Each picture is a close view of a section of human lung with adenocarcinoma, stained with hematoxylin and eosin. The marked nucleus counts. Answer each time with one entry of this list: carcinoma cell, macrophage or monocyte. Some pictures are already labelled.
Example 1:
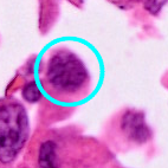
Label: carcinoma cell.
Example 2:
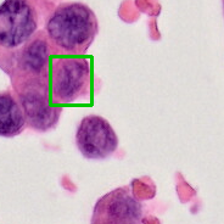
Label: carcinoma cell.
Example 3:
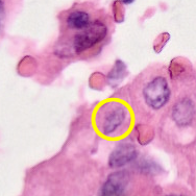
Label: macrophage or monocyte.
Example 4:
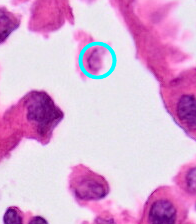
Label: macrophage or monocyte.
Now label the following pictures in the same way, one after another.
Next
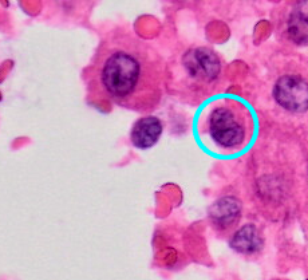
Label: macrophage or monocyte.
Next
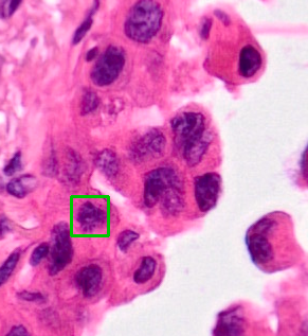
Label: carcinoma cell.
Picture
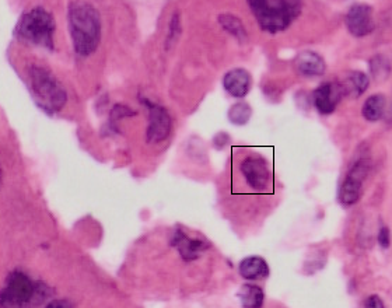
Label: macrophage or monocyte.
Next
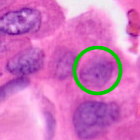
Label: carcinoma cell.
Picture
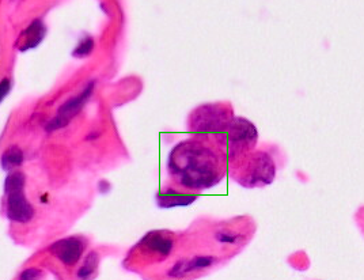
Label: carcinoma cell.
